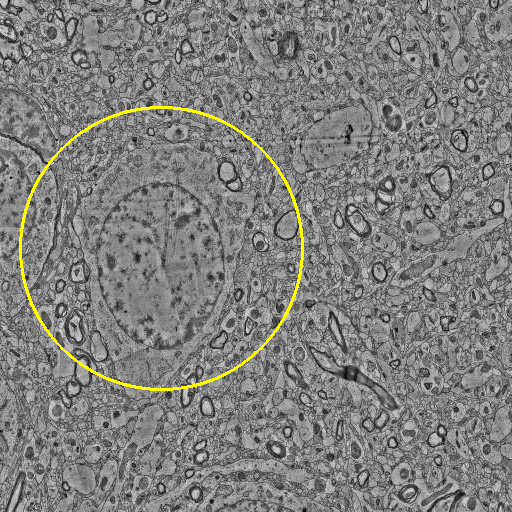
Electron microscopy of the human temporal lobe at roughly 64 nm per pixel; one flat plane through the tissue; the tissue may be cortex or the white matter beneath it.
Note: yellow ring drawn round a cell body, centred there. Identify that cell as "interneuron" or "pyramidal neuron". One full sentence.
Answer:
The cell in the middle of the ring is an interneuron.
